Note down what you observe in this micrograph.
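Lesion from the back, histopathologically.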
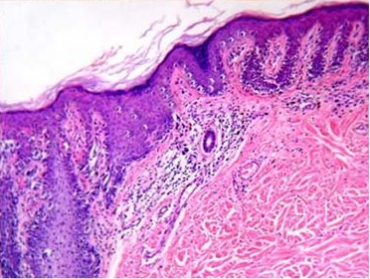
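This is skin at higher magnification, showing the epidermis and the upper dermis, with single cells proliferating at the junction between them. Along the base of the purple epidermis, and especially along the rete ridges, many cells sit one by one with pale, clear cytoplasm around a dark nucleus, so that they look like little holes in the basal layer. They are lined up singly rather than gathered into nests. On top lies a loose, layered, basket-weave keratin layer. In the papillary dermis beneath, small vessels are surrounded by scattered dark small round inflammatory cells, and deeper down the dermis is made of pink collagen bundles.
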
